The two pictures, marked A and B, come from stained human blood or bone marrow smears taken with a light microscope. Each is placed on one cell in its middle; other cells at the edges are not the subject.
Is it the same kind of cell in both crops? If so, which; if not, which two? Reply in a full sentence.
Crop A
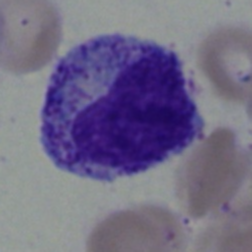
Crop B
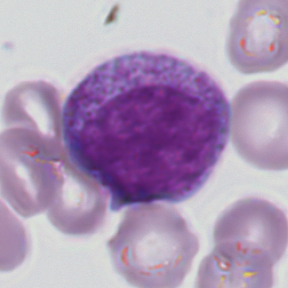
No, in fact crop A shows a metamyelocyte, and crop B shows a myelocyte.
